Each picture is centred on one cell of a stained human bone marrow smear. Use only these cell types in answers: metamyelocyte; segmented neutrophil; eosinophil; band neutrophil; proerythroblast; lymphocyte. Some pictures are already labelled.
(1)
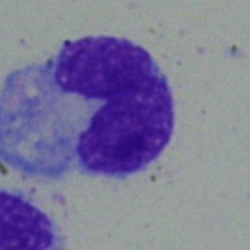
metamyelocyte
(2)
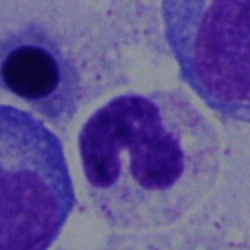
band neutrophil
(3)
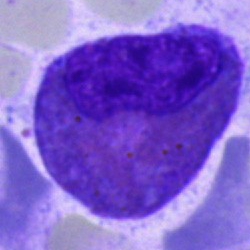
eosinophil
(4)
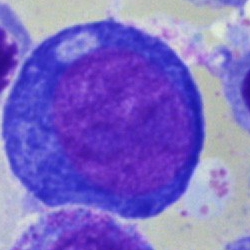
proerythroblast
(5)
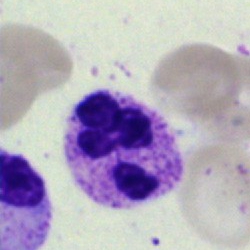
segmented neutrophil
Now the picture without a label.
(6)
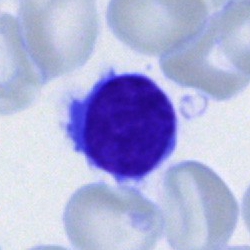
lymphocyte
